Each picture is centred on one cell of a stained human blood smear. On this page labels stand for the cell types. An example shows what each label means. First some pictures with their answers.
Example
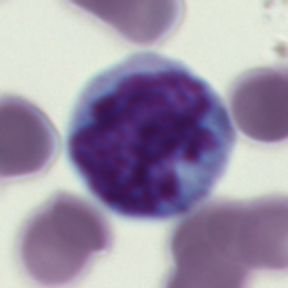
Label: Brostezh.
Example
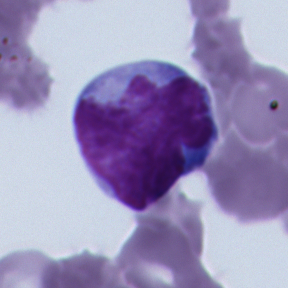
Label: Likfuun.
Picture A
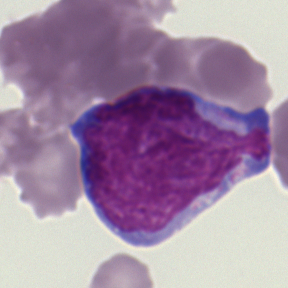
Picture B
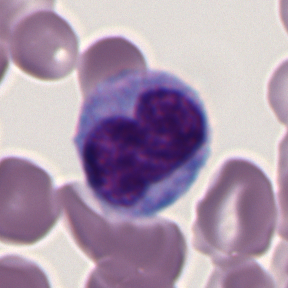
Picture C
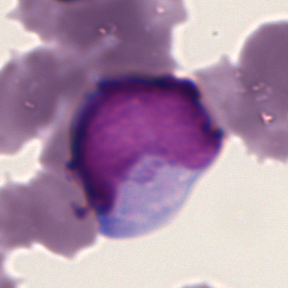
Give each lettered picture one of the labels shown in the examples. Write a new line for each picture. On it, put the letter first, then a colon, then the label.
A: Likfuun.
B: Brostezh.
C: Likfuun.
